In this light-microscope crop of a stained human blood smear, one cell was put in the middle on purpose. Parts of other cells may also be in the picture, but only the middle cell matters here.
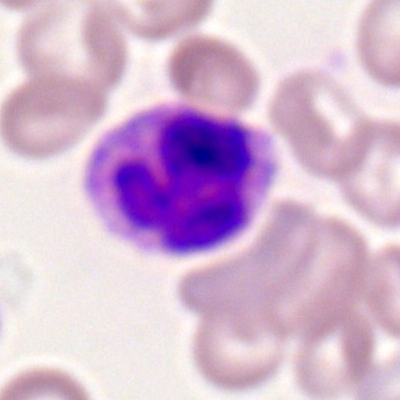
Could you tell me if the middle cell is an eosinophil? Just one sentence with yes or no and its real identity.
No, in this crop the middle cell is a basophil, not an eosinophil.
